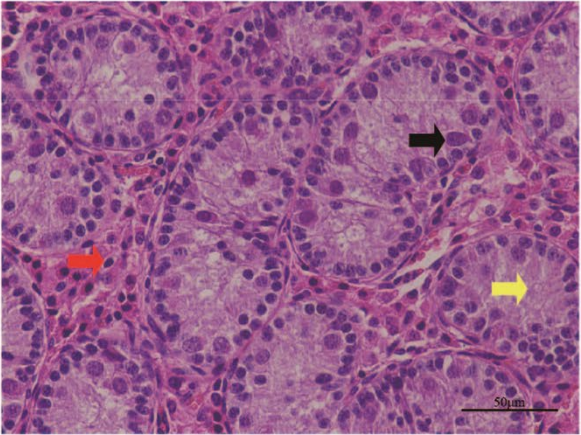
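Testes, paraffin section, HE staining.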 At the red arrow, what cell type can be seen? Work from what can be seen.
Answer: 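The arrow points to a cluster of cells in the interstitium between tubules. The clustered cells have round nuclei and eosinophilic cytoplasm.
Leydig cells.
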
